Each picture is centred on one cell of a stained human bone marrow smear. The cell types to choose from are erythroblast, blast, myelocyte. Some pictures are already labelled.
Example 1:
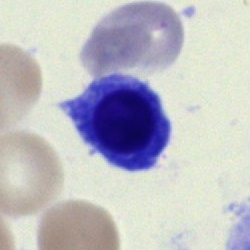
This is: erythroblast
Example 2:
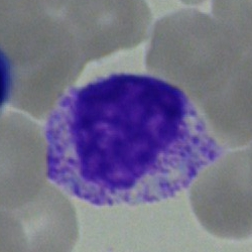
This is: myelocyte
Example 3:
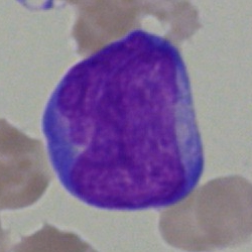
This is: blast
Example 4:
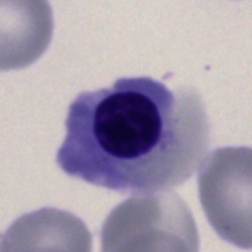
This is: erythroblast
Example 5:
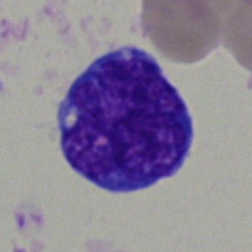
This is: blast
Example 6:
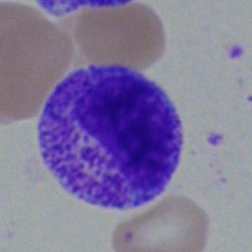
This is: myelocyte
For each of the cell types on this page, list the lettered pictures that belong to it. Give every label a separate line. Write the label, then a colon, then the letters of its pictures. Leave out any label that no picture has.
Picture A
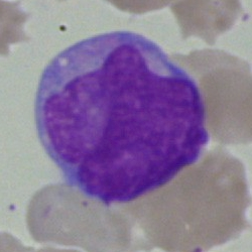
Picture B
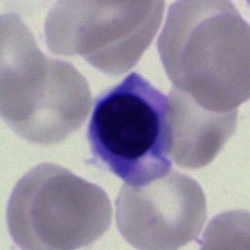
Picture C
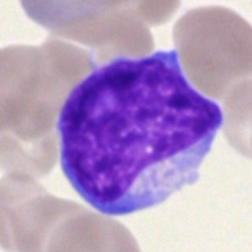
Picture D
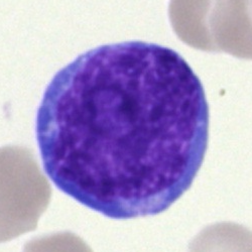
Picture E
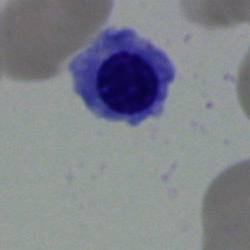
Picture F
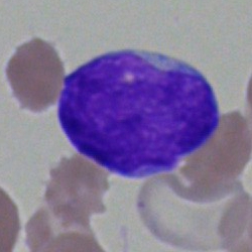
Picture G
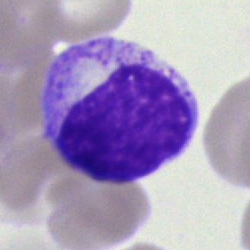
erythroblast: B, E
blast: A, C, D, F
myelocyte: G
